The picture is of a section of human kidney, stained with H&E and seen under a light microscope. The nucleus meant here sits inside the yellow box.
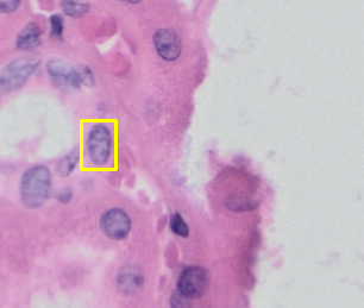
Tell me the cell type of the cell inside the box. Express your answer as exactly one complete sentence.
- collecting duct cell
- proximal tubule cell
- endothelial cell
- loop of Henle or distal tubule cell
As for its identity, the cell inside the box is a collecting duct cell.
